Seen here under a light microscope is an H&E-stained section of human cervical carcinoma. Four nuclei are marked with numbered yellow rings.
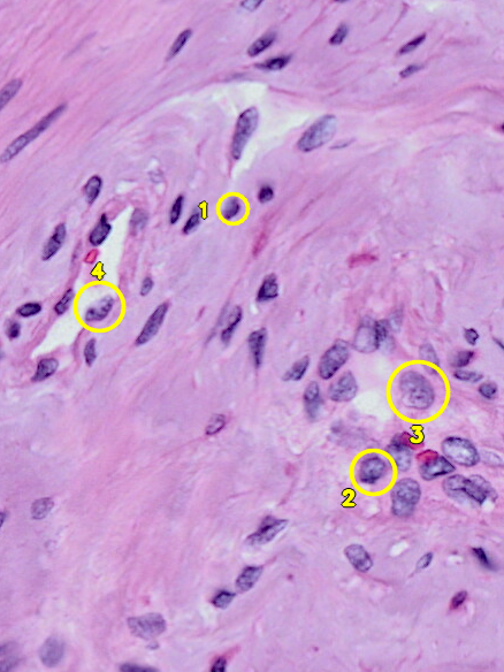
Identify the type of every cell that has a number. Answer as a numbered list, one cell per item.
1. fibroblast
2. endothelial cell
3. endothelial cell
4. endothelial cell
